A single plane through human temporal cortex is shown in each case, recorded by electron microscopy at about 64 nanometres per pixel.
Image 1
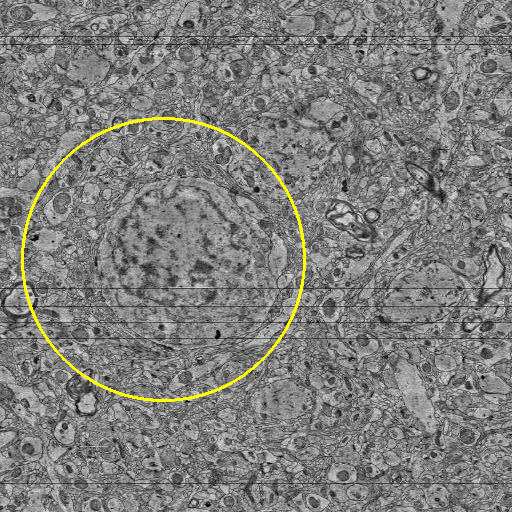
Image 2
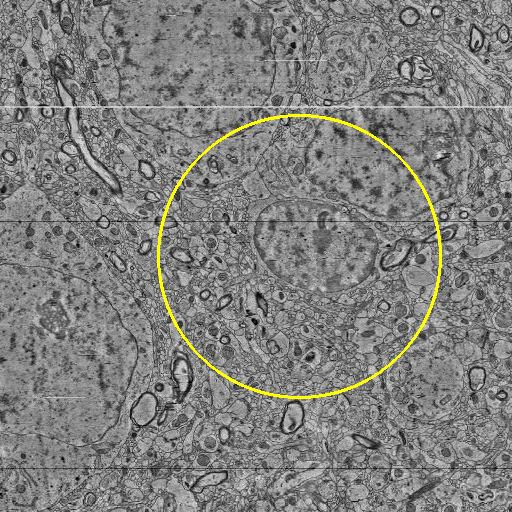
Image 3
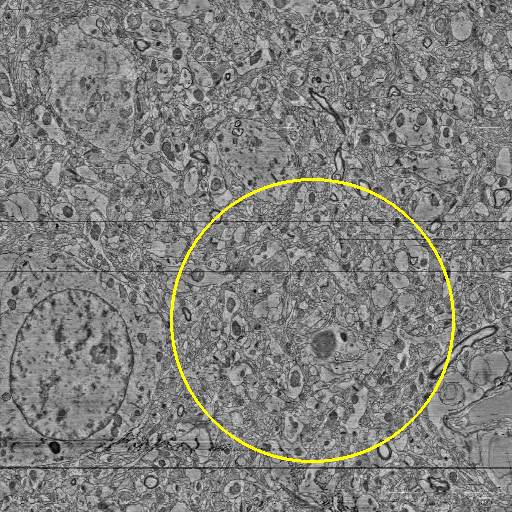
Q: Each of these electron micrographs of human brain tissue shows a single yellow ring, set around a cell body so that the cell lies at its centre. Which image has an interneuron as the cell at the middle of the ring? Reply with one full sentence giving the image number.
In image 1, the cell lying at the ring's centre is the requested one.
